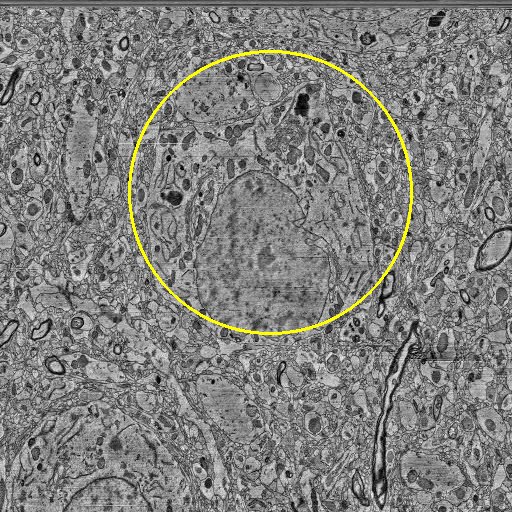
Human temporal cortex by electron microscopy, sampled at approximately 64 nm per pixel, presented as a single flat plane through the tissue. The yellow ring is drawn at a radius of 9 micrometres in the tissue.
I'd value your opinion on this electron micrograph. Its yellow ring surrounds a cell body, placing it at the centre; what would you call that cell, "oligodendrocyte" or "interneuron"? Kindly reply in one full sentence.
It is an interneuron that sits centred within the yellow ring in this micrograph.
